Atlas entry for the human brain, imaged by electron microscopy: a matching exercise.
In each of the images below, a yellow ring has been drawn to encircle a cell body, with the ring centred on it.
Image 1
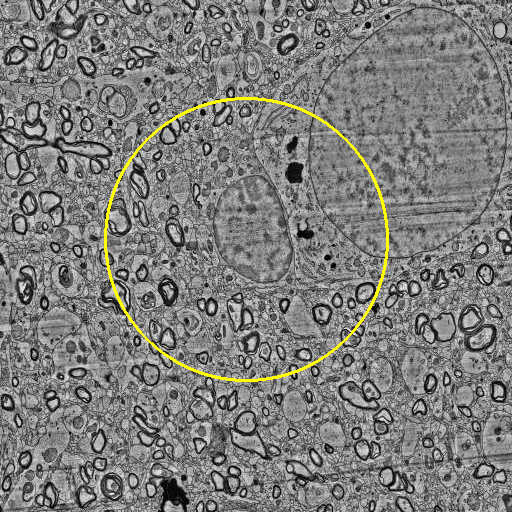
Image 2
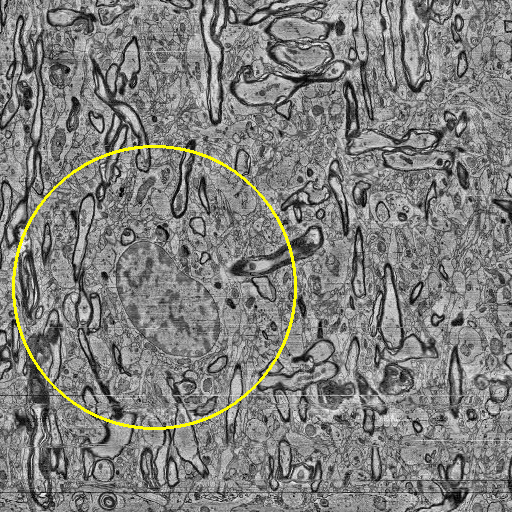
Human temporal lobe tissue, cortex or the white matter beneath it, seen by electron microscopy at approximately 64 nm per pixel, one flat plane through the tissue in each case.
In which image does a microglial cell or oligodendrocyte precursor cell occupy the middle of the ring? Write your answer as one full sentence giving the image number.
In image 2, the ring is centred on the cell in question.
